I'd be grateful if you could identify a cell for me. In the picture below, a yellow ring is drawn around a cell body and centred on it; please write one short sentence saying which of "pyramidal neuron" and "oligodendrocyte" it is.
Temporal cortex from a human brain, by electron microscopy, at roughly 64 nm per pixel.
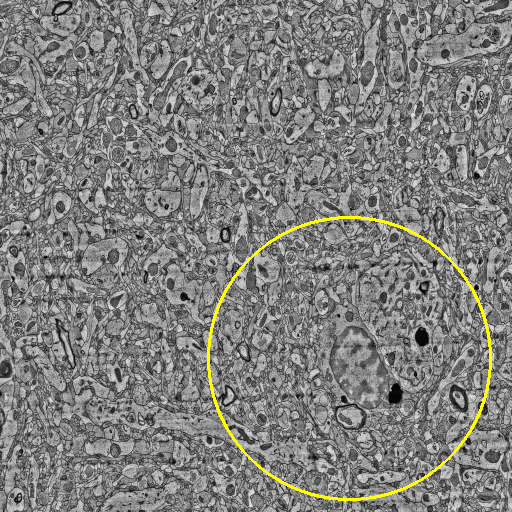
The cell under the ring's centre is an oligodendrocyte.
